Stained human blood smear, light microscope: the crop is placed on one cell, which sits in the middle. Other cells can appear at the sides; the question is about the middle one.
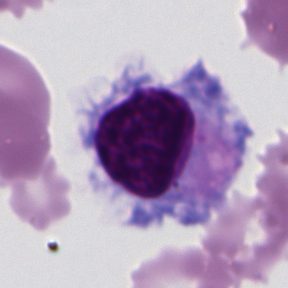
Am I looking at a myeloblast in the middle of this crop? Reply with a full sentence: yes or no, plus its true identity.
No, mark the middle cell as a hairy cell, not a myeloblast.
